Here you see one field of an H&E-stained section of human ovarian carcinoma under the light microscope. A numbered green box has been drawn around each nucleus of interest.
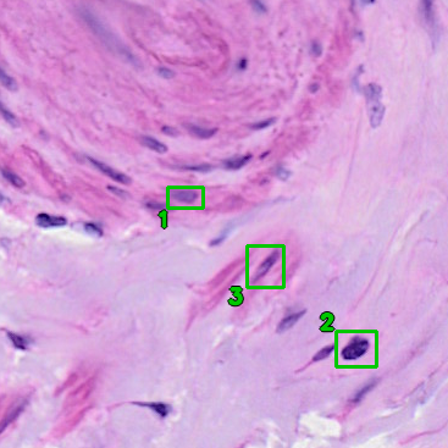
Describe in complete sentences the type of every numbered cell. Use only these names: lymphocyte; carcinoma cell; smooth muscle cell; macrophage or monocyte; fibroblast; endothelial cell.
Cells 1 and 3 are smooth muscle cells. Cell 2 is a lymphocyte.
